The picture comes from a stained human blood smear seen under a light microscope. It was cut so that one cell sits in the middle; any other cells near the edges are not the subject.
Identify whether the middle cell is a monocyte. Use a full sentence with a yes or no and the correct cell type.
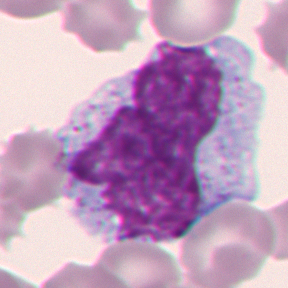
Yes, this crop has a monocyte at its centre.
